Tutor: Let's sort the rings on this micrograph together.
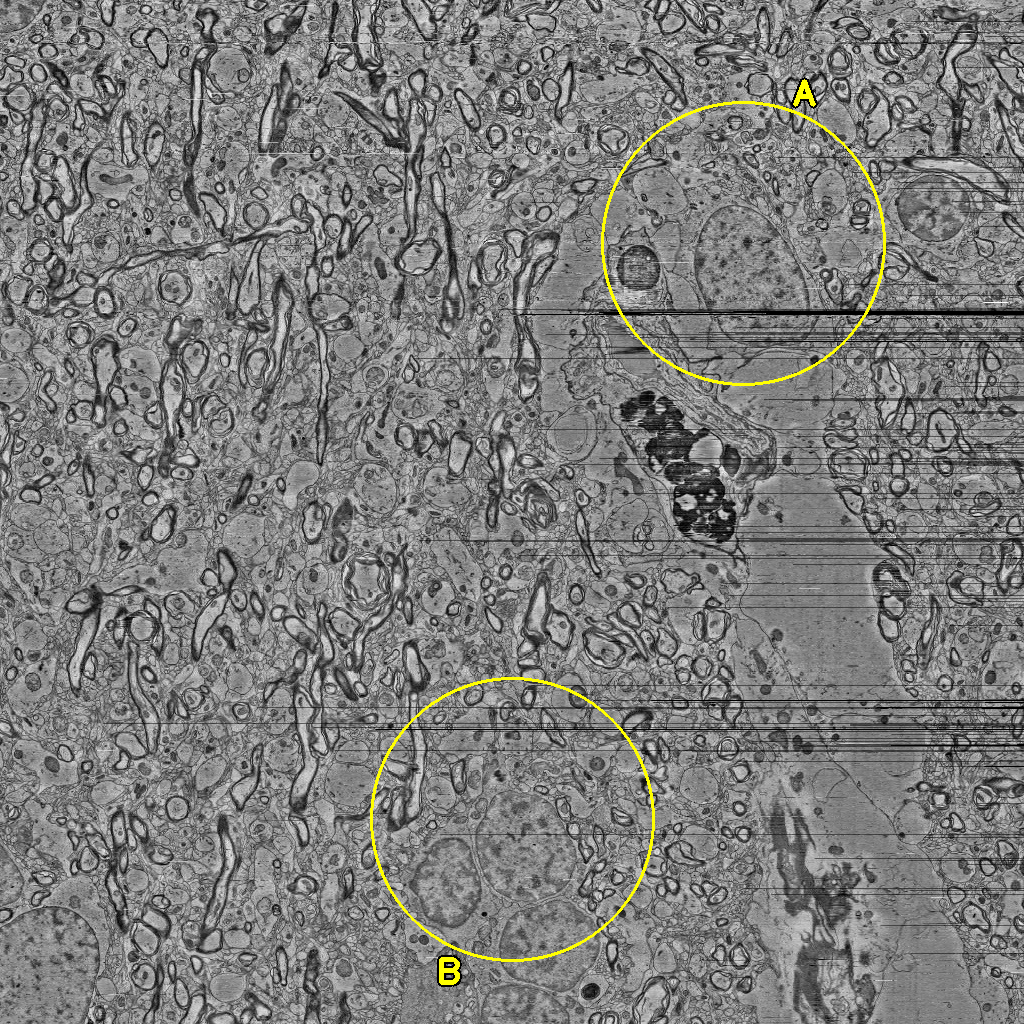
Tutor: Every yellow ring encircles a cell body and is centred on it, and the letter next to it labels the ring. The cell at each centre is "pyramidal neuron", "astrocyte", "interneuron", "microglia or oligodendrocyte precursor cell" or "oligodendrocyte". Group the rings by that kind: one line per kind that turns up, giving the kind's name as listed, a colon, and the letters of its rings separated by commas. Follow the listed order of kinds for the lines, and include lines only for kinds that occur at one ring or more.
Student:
microglia or oligodendrocyte precursor cell: A
oligodendrocyte: B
